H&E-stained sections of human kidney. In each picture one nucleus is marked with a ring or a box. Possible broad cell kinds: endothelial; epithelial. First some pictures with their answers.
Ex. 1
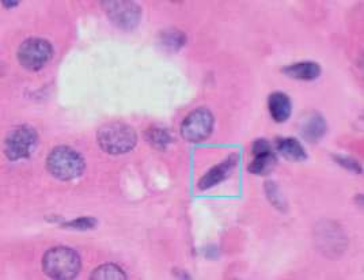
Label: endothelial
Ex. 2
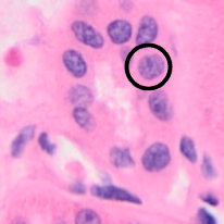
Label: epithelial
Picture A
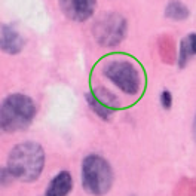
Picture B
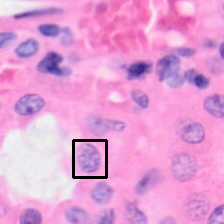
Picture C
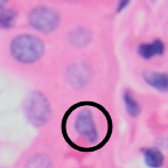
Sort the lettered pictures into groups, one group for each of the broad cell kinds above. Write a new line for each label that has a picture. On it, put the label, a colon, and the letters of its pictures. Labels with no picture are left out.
endothelial: C
epithelial: A, B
